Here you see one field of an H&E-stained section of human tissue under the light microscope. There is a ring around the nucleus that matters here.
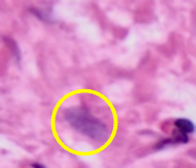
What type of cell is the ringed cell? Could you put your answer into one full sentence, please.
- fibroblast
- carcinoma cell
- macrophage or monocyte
In this field of tissue, the ringed cell is a fibroblast.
